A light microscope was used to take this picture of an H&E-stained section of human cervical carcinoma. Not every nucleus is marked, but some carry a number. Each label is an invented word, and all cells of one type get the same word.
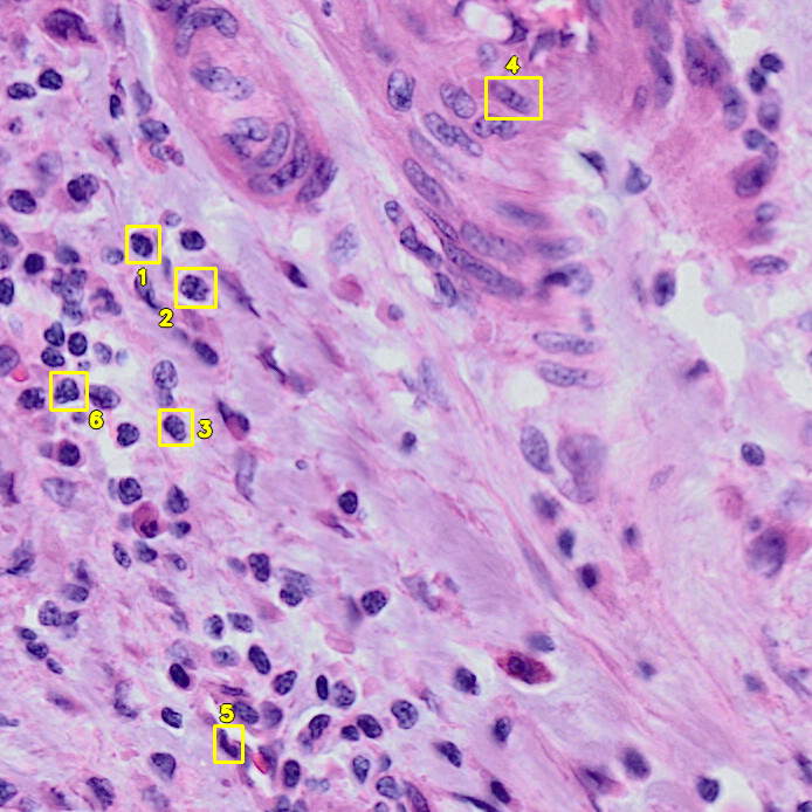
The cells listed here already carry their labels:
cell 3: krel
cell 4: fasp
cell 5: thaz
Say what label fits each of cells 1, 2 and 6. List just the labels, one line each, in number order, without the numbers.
krel
krel
krel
